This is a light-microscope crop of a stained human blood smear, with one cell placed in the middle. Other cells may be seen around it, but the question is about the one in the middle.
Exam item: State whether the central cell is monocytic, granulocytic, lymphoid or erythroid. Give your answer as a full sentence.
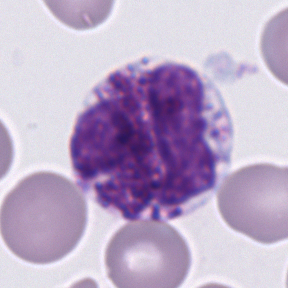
Belonging to the granulocytic lineage is the cell positioned in the middle.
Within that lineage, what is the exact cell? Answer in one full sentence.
The middle of this crop is occupied by a basophil.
